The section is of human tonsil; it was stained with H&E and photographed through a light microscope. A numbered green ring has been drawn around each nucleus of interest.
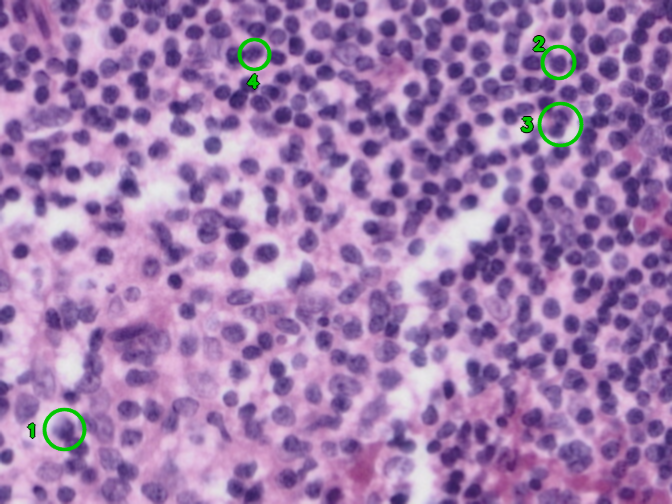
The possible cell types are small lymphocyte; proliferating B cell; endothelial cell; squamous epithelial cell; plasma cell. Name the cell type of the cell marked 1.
proliferating B cell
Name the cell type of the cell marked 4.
small lymphocyte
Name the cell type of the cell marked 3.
small lymphocyte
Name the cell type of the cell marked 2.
small lymphocyte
